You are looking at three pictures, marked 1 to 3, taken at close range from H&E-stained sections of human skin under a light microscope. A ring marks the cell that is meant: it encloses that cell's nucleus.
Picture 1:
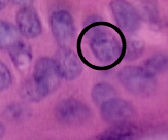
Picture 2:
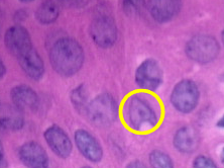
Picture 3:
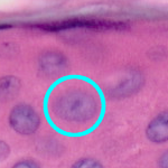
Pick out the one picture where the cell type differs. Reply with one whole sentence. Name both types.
The different one is picture 1; it shows a basal keratinocyte, whereas all the others show suprabasal keratinocytes.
